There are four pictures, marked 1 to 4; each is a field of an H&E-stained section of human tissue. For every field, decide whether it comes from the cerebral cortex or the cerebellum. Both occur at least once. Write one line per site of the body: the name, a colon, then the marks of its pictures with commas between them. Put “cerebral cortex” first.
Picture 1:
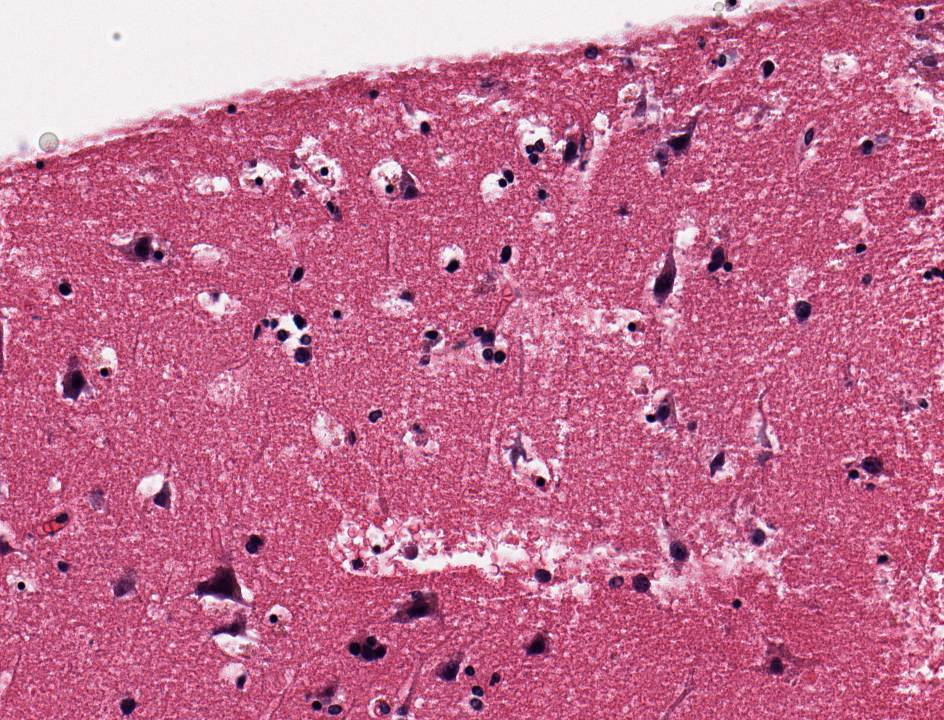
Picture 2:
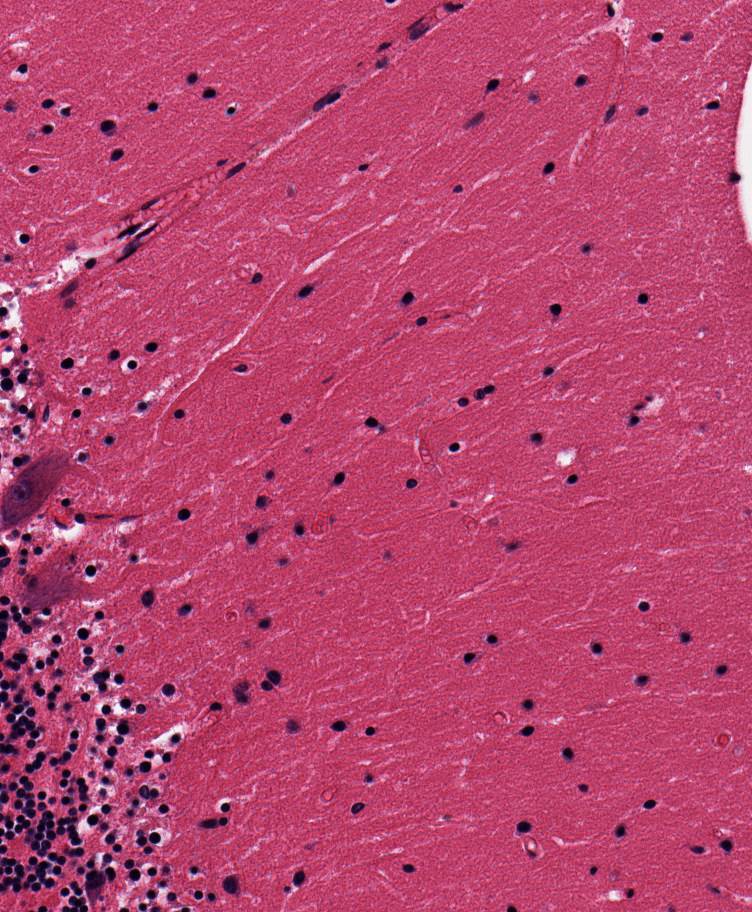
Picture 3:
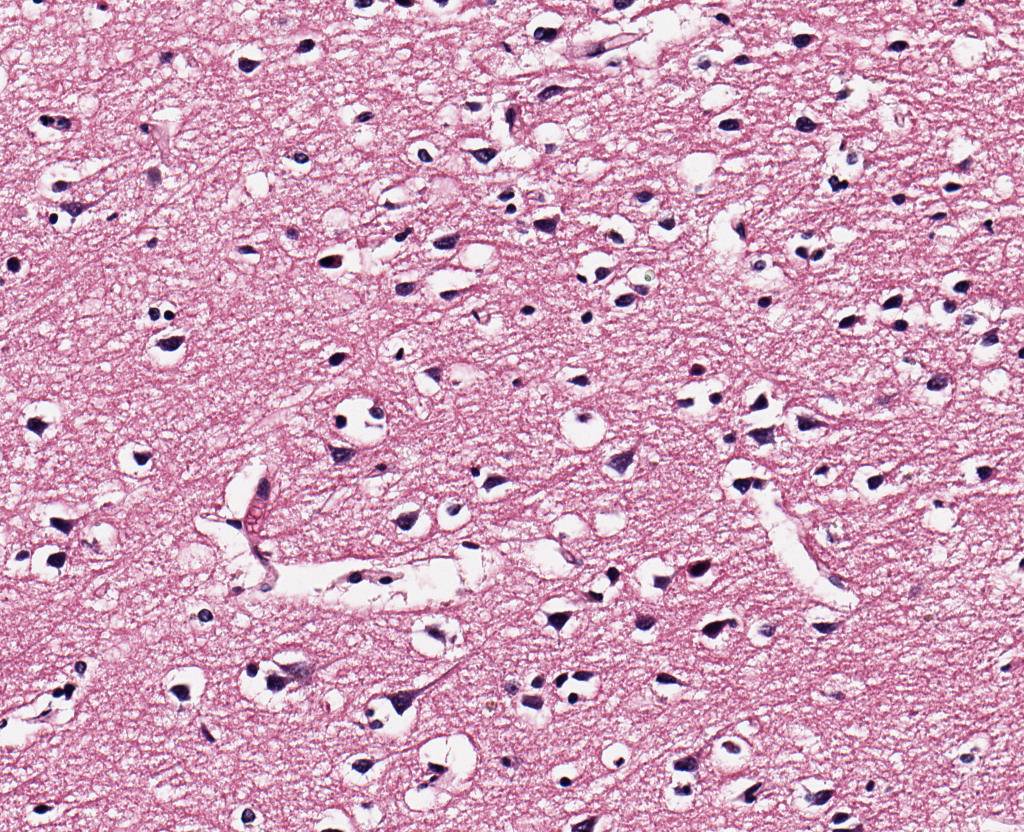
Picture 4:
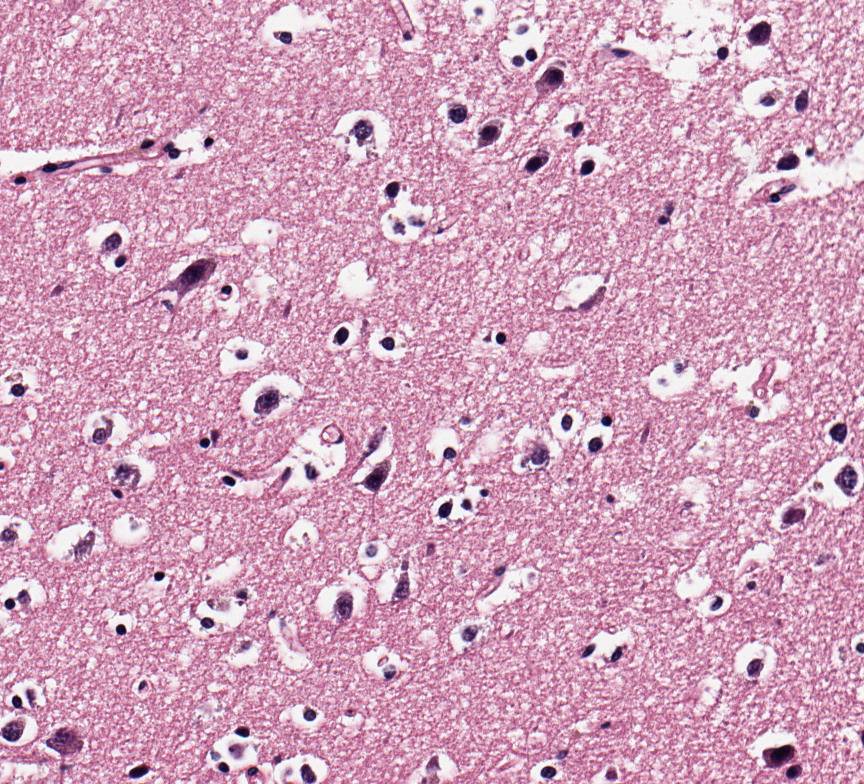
cerebral cortex: 1, 3, 4
cerebellum: 2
